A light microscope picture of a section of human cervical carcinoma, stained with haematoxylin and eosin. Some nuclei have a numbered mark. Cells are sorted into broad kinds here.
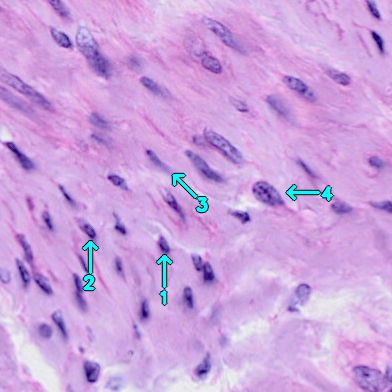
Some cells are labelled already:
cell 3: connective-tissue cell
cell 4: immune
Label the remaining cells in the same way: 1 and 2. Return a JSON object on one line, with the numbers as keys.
{"1": "connective-tissue cell", "2": "connective-tissue cell"}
